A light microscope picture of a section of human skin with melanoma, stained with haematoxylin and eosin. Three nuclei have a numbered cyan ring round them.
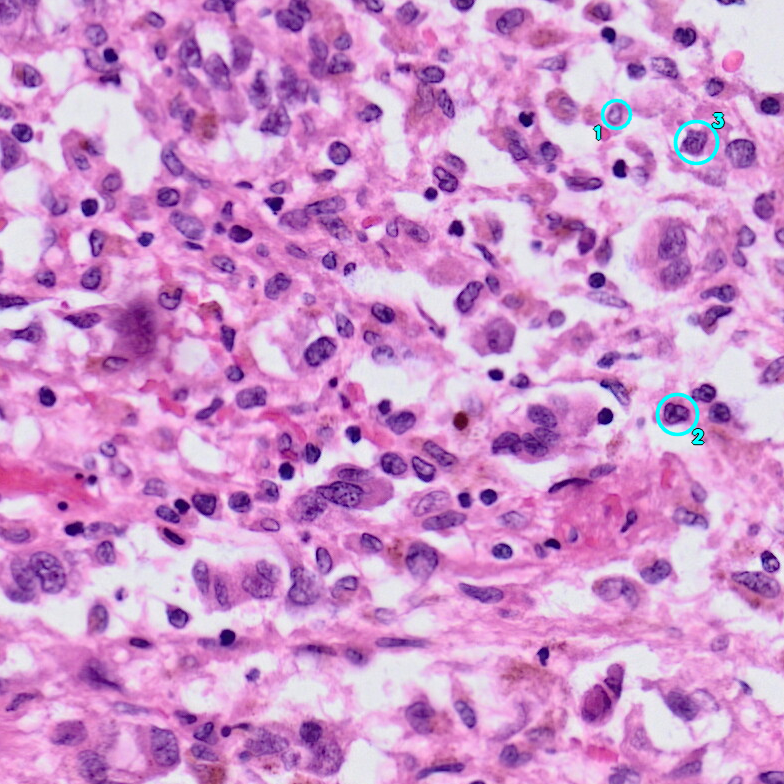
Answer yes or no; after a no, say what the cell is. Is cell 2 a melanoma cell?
No, it is a macrophage or monocyte.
